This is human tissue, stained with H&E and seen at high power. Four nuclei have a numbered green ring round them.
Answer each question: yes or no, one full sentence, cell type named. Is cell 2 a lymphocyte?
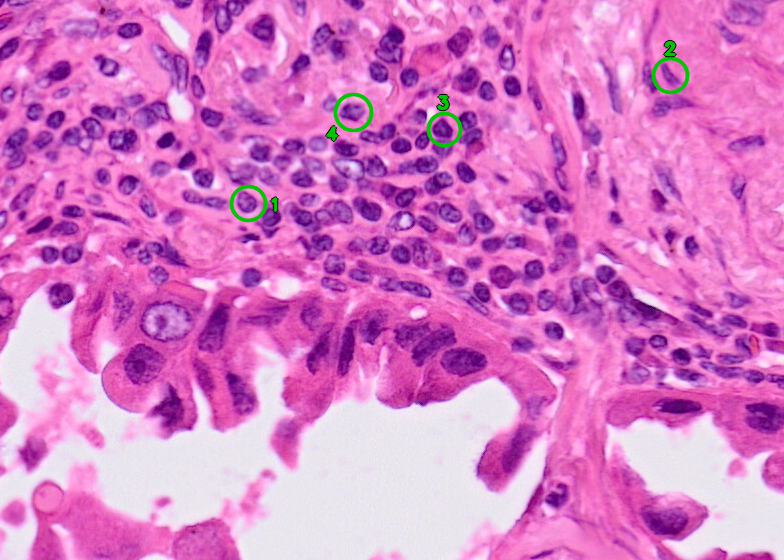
No, number 2 corresponds to a smooth muscle cell or pericyte, not a lymphocyte.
